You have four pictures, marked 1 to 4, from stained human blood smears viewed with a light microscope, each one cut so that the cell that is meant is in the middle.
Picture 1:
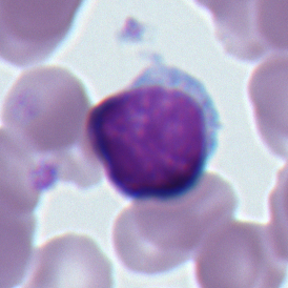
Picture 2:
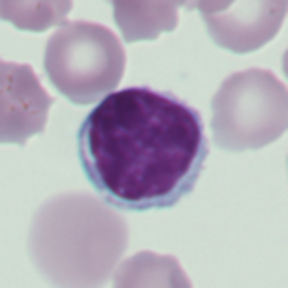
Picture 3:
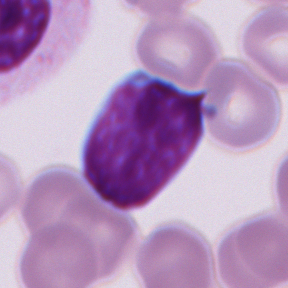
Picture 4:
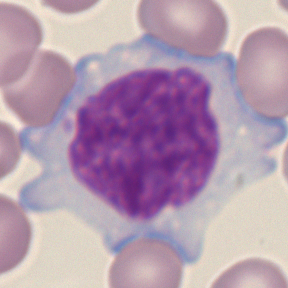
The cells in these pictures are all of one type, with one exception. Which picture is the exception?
4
